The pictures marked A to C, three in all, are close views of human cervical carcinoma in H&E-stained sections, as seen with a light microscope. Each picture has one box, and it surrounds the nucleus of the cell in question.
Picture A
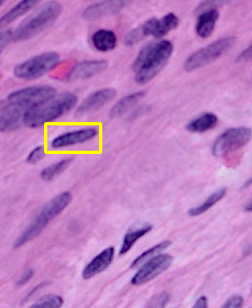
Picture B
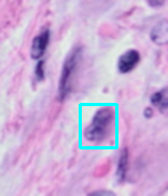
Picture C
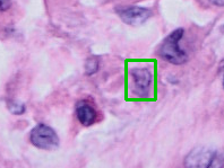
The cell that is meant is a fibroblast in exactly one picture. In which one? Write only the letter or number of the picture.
A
